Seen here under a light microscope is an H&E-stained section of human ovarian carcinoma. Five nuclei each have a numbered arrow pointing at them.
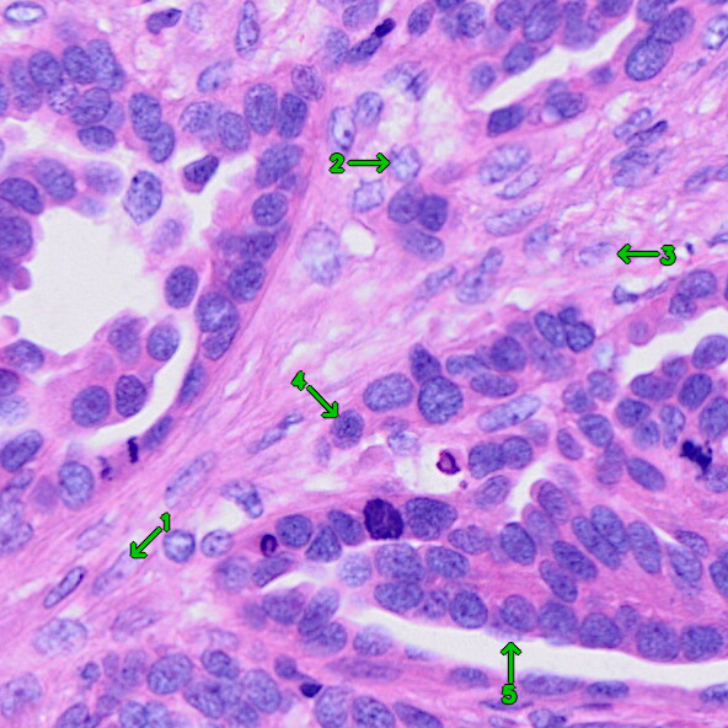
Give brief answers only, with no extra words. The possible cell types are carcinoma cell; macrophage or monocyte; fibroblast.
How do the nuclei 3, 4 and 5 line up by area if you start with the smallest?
3, 4, 5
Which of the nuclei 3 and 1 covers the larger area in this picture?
1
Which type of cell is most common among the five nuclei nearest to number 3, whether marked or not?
fibroblast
